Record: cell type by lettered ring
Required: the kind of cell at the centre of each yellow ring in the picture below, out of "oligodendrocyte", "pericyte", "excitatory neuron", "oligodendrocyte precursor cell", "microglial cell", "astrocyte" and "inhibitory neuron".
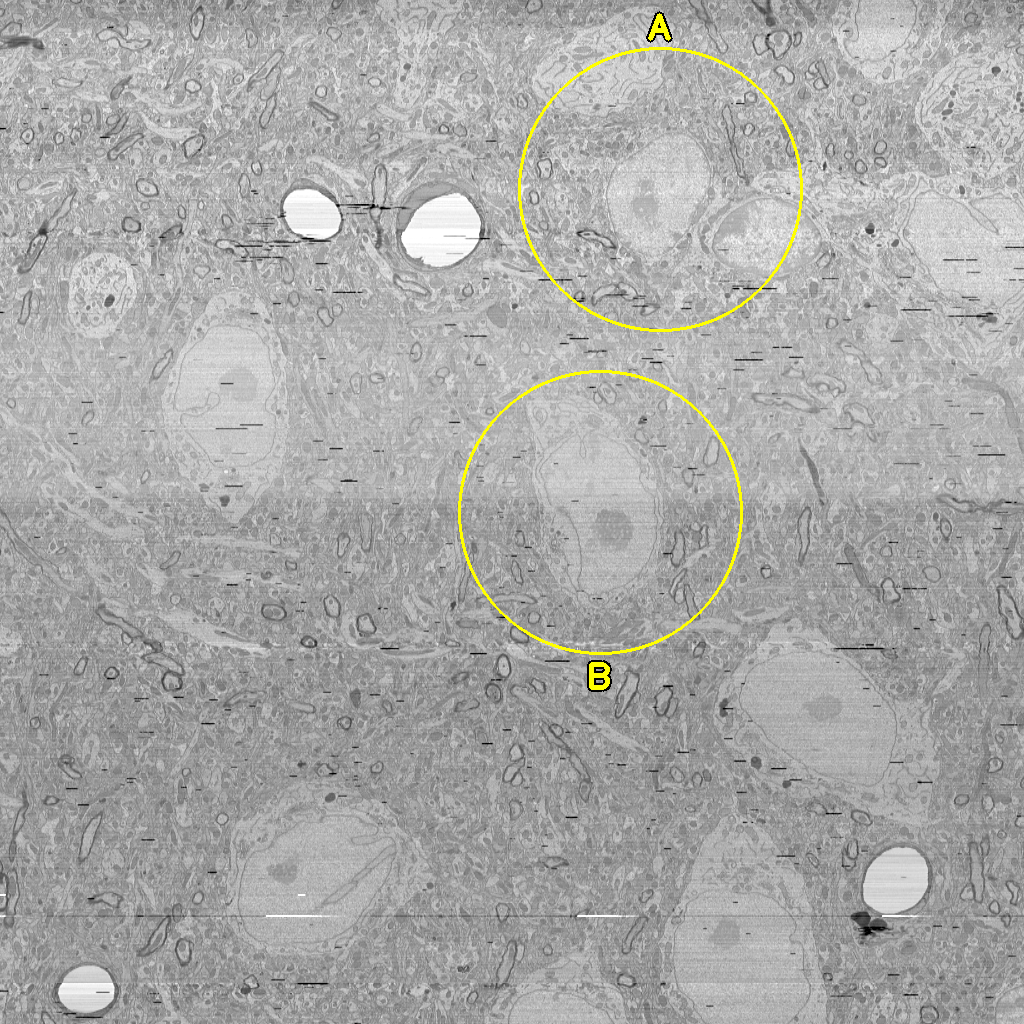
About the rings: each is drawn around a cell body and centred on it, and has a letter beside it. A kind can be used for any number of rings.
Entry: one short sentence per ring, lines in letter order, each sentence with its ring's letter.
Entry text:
At ring A we have an astrocyte.
At ring B we have an inhibitory neuron.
